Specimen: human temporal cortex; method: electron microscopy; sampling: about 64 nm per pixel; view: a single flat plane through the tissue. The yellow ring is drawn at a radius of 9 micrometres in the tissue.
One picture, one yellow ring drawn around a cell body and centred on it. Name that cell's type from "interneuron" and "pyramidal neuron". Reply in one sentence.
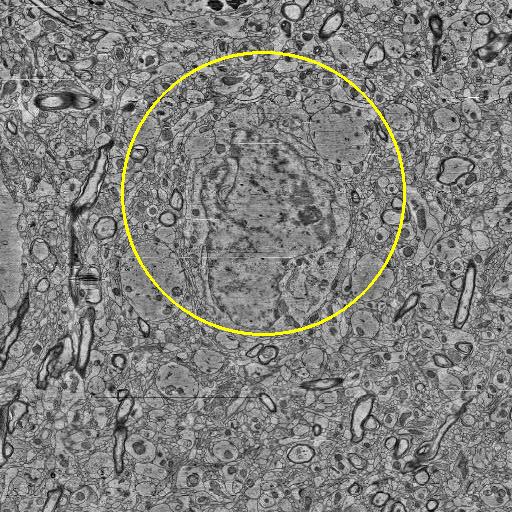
Centred in the ring is an interneuron.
